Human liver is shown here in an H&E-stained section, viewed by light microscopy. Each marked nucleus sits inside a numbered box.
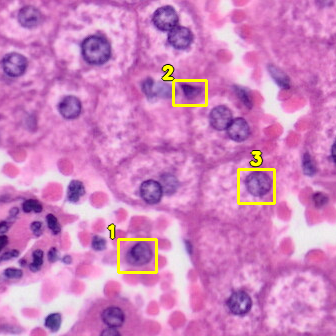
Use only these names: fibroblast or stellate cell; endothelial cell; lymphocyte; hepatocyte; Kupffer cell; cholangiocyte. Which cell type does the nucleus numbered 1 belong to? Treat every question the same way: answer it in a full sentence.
The label 1 in this section denotes a Kupffer cell.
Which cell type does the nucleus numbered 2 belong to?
Number 2 among the marked cells is a fibroblast or stellate cell.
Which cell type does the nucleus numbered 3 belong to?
The numbered cell 3 in this field is a hepatocyte.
